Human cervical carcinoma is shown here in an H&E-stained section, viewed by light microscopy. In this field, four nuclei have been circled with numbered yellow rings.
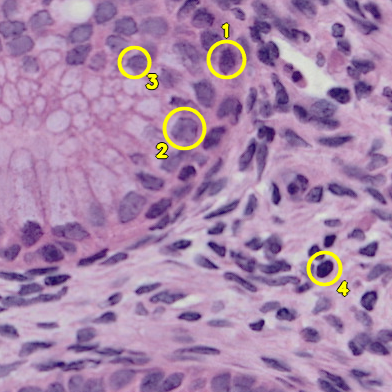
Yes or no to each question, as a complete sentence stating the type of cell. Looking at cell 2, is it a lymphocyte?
No, cell 2 is to be classed as a secretory epithelial cell, not a lymphocyte.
